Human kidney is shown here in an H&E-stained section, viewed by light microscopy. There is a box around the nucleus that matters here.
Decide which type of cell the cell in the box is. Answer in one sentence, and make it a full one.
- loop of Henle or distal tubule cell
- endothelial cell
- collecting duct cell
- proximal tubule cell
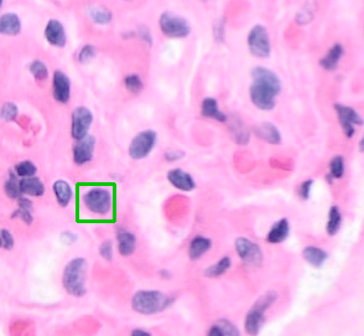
As far as its identity is concerned, the cell in the box is an endothelial cell.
